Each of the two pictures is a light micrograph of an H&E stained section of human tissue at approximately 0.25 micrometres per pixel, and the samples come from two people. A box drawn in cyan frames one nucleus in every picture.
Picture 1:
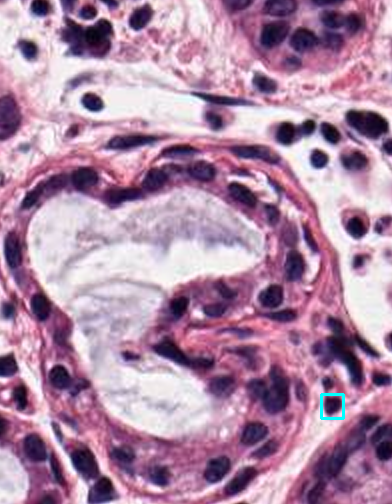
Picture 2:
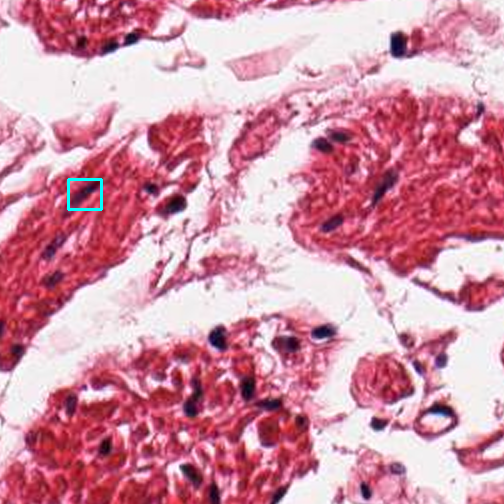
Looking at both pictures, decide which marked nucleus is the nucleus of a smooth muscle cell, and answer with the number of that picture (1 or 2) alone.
2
